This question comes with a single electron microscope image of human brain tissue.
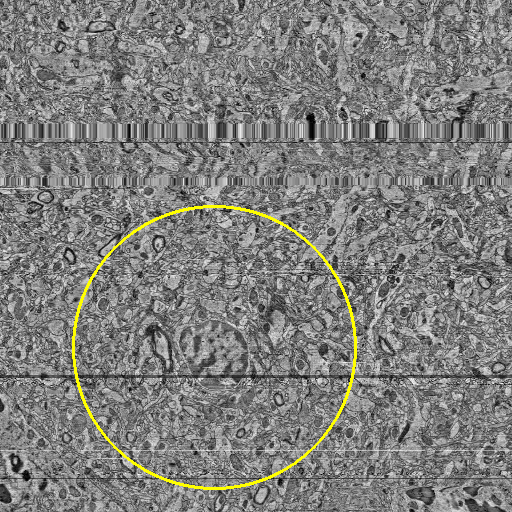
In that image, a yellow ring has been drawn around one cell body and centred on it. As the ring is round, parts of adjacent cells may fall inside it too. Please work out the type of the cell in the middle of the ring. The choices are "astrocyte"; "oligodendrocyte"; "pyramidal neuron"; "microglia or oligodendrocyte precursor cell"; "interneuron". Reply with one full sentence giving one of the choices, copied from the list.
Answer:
Of the choices, a microglial cell or oligodendrocyte precursor cell is the cell sitting in the middle of the ring.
